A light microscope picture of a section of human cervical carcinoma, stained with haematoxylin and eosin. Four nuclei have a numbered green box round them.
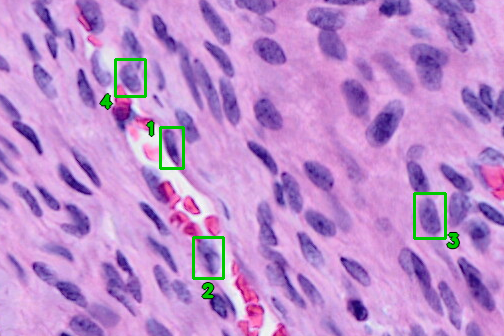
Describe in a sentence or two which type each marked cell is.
Cell 1 is an endothelial cell, cell 2 is an endothelial cell, cell 3 is a fibroblast and cell 4 is an endothelial cell.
